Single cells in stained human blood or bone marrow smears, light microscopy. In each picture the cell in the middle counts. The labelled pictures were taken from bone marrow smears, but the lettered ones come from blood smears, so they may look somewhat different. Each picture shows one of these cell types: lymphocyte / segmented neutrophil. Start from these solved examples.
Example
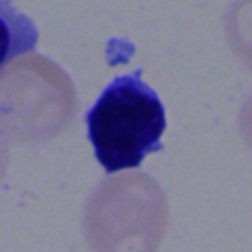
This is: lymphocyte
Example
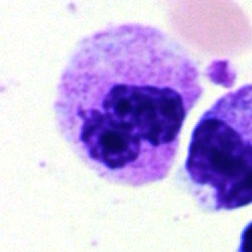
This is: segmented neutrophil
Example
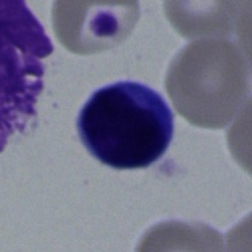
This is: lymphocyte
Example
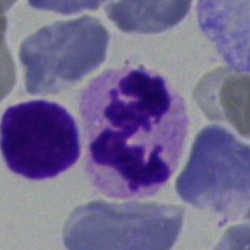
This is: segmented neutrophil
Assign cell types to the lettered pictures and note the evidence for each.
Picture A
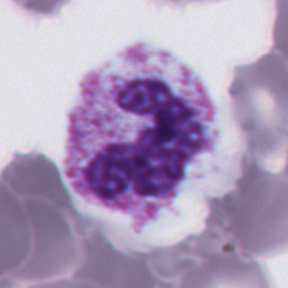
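Label: segmented neutrophil. The nucleus is divided into lobes joined by narrower parts.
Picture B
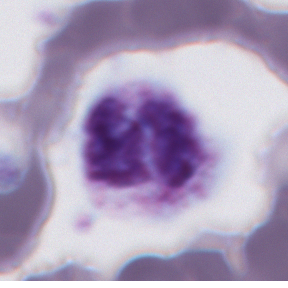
Label: segmented neutrophil. A vertical cleft divides the nucleus into two lobes.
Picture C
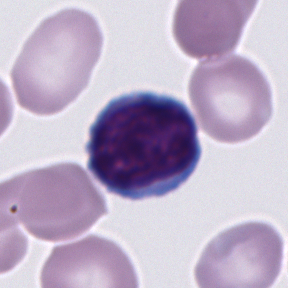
Label: lymphocyte. The cytoplasm is blue.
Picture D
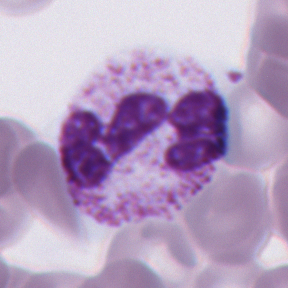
Label: segmented neutrophil. The nucleus is split into separate lobes joined by narrow strands.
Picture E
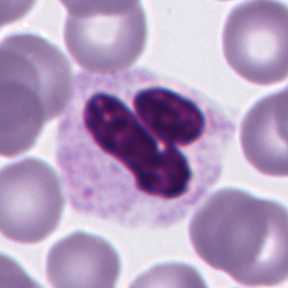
Label: segmented neutrophil. A wide rim of pale pinkish-lilac cytoplasm surrounds the nucleus.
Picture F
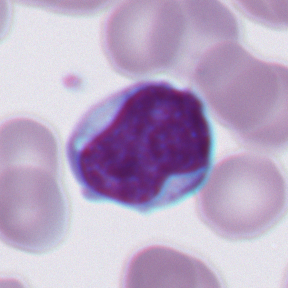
Label: lymphocyte. The cytoplasm is a narrow rim, widest at the left and lower right.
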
